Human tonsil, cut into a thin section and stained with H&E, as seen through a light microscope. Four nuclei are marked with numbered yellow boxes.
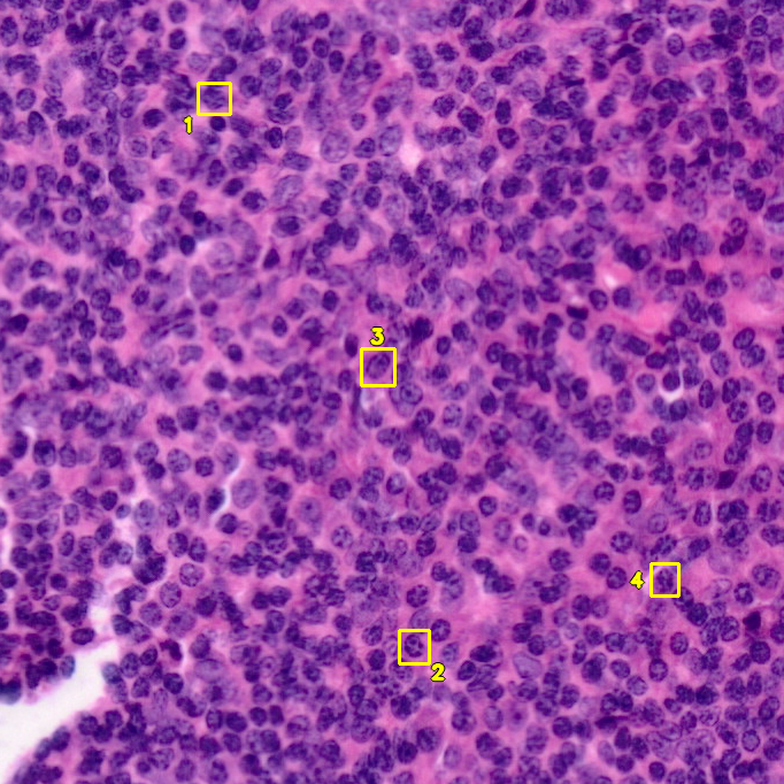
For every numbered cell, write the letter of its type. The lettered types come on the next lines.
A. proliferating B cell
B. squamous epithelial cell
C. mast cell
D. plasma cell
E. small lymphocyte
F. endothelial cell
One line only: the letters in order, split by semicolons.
E; D; D; D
